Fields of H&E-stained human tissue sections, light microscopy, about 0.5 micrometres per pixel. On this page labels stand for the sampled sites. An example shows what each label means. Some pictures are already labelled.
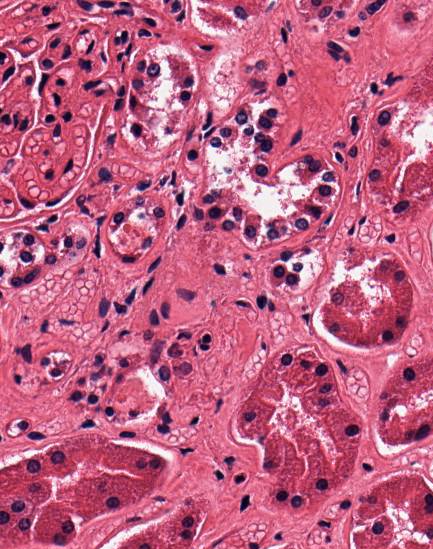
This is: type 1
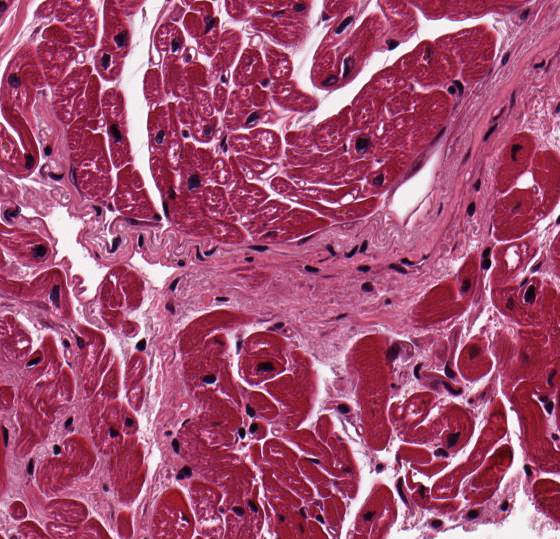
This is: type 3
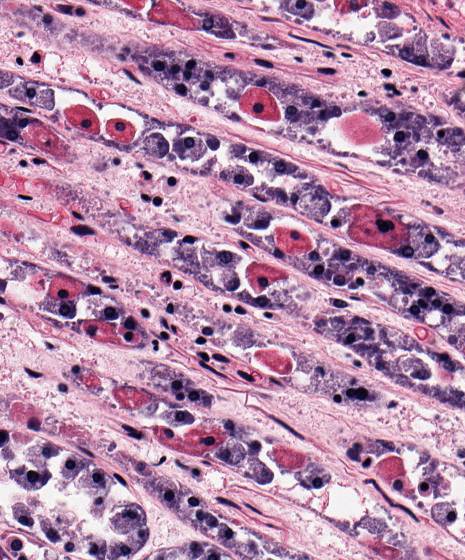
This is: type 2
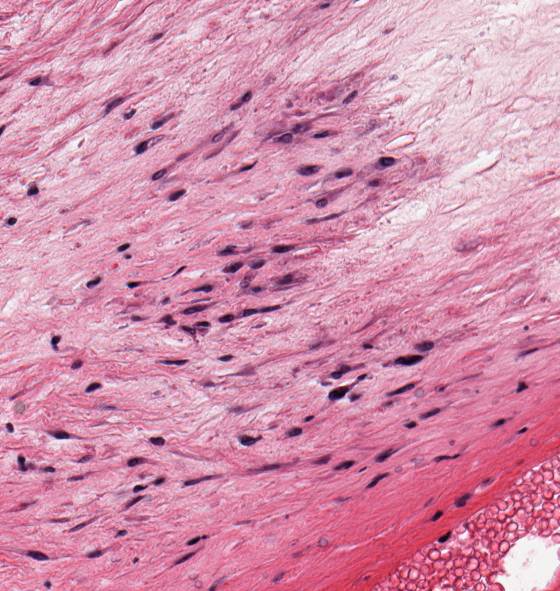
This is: type 3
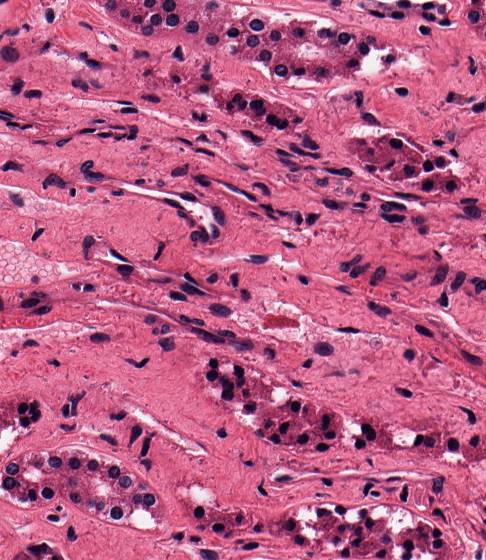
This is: type 1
